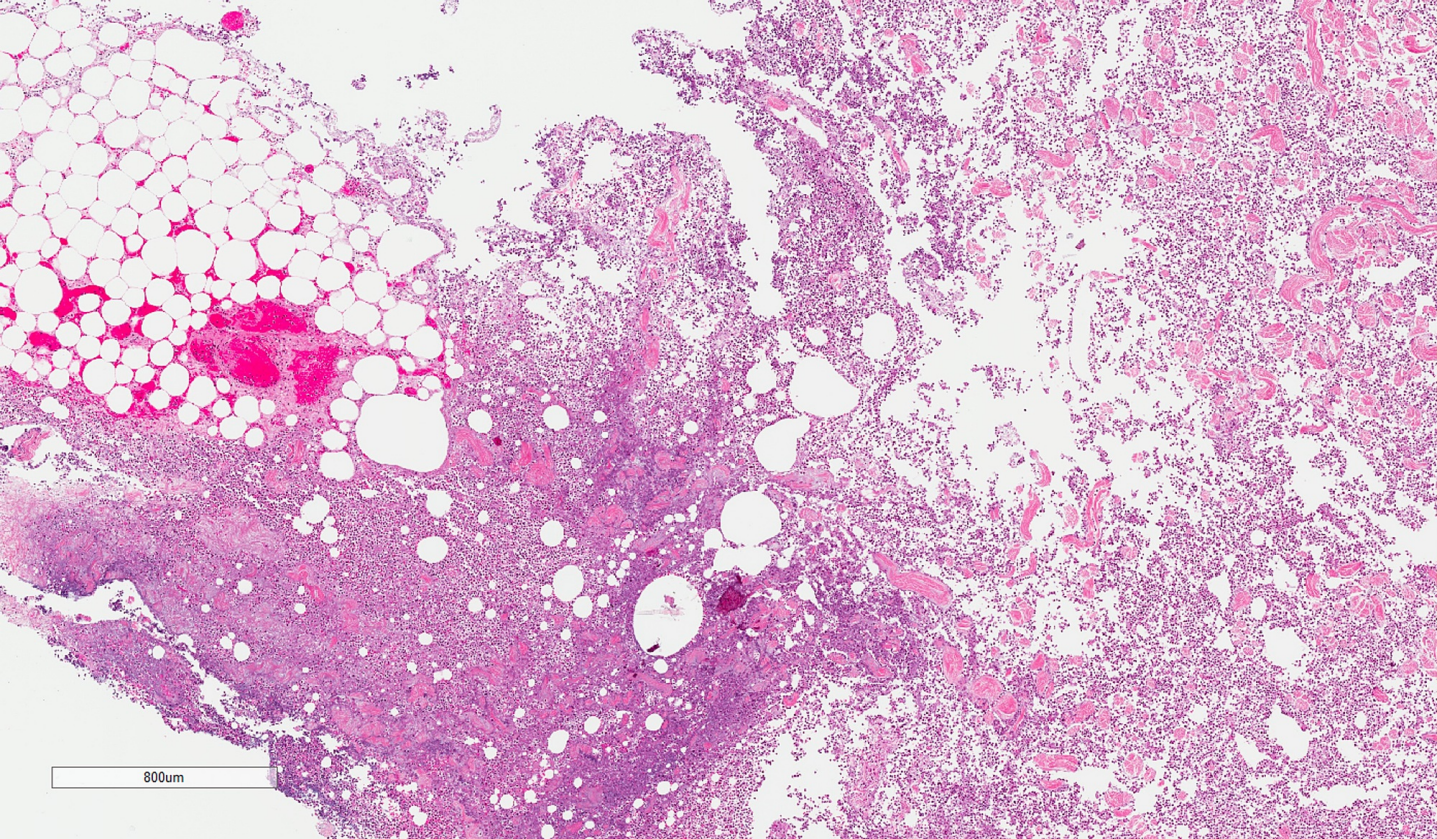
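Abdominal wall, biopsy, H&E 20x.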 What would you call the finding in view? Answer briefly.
Diffuse neutrophil rich inflammation with suppuration and associated necrosis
